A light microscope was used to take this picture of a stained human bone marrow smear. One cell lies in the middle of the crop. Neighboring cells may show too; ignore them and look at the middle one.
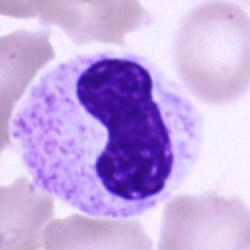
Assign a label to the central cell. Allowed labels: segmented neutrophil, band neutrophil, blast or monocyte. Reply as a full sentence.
Classified as a band neutrophil is the cell in the middle of this crop.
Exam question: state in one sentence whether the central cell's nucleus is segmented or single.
The nucleus is one compact mass, round, oval or kidney-shaped in outline.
